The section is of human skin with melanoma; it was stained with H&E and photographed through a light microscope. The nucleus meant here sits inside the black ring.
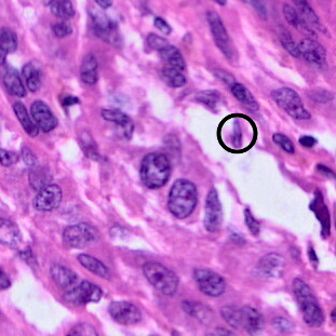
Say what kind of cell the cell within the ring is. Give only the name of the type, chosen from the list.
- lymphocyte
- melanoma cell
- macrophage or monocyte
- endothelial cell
melanoma cell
